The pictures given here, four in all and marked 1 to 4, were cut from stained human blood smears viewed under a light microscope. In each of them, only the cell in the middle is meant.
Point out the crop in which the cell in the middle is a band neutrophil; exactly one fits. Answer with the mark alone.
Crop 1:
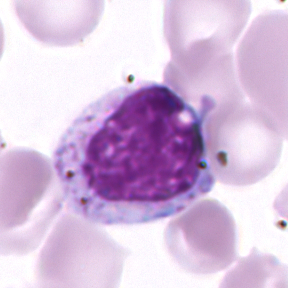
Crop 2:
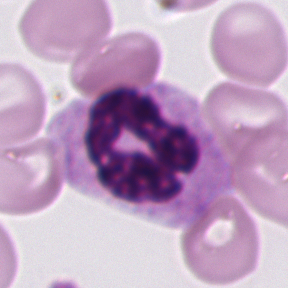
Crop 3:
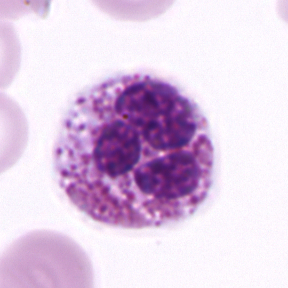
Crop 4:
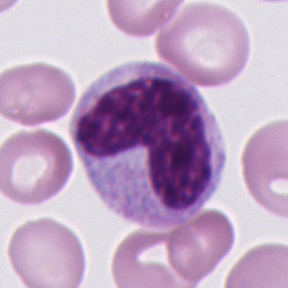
4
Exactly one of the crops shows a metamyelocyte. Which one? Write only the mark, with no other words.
1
